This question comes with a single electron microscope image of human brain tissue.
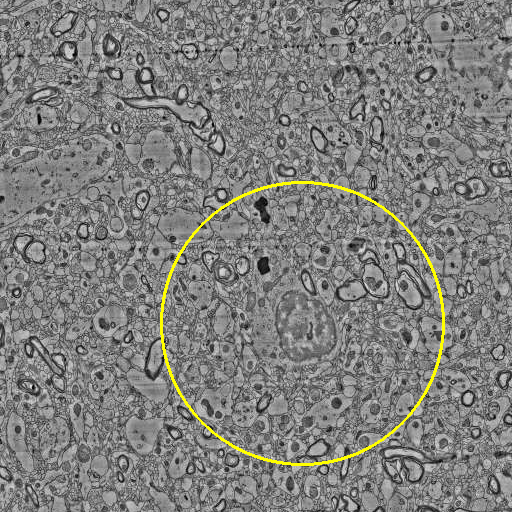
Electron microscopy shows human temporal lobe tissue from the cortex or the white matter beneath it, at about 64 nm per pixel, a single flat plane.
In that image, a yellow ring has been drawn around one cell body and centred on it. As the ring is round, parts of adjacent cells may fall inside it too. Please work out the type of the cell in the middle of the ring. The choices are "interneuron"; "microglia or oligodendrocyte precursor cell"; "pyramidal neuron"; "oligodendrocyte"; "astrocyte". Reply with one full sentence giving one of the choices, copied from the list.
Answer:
Of the choices, an oligodendrocyte is the cell sitting in the middle of the ring.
